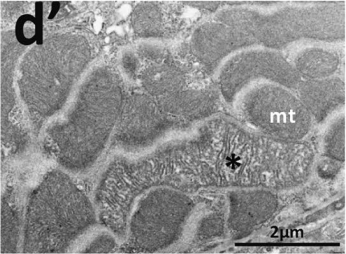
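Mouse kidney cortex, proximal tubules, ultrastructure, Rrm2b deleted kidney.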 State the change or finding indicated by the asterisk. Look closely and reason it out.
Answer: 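Degenerated. The marked organelle has a pale, disorganised interior of irregular tubular membranes. Neighbouring organelles have a dense, uniform dark matrix.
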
